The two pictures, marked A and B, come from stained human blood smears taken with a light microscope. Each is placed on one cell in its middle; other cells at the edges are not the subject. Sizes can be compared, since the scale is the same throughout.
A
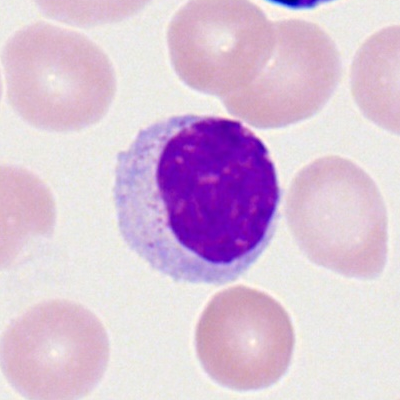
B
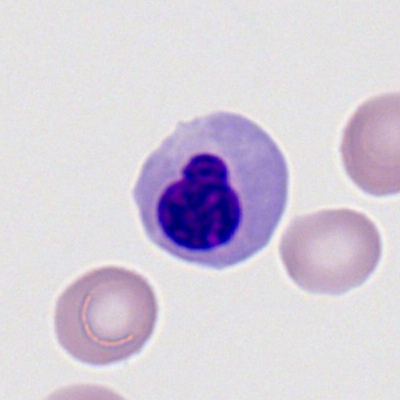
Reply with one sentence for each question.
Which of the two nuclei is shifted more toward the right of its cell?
Seen within its cell, the nucleus in crop A lies further toward the right.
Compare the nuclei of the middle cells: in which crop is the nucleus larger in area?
Crop A shows the larger nucleus; it covers about 2.5 times the area of the nucleus in crop B.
